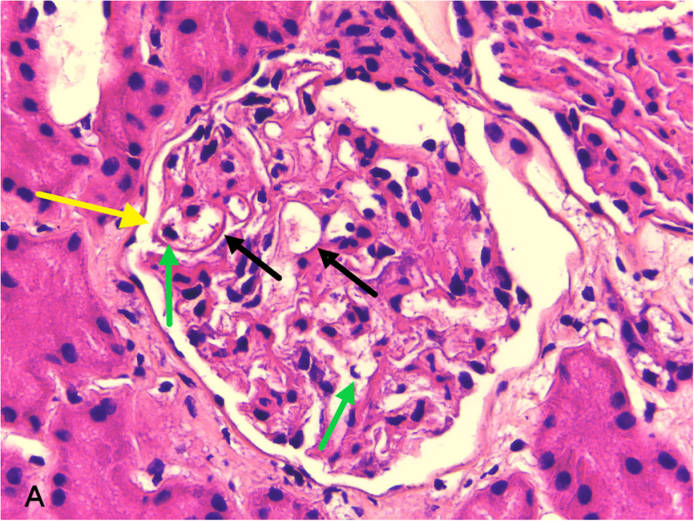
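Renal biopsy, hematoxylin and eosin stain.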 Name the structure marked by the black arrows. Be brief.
Capillary loops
